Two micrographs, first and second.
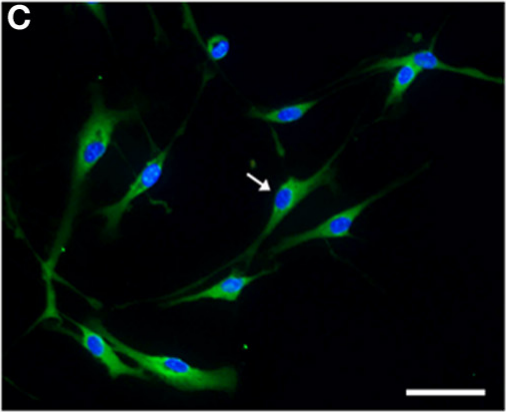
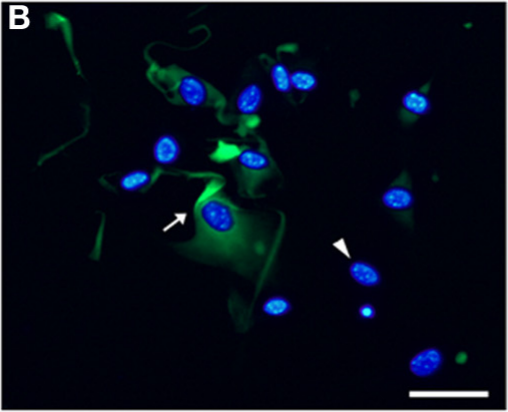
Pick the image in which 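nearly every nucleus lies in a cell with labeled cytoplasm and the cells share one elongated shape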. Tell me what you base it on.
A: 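The first image. First image: almost every blue nucleus is surrounded by green spindle-shaped cytoplasm. Second image: many blue nuclei have little or no green around them, and the green cells vary in shape.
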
